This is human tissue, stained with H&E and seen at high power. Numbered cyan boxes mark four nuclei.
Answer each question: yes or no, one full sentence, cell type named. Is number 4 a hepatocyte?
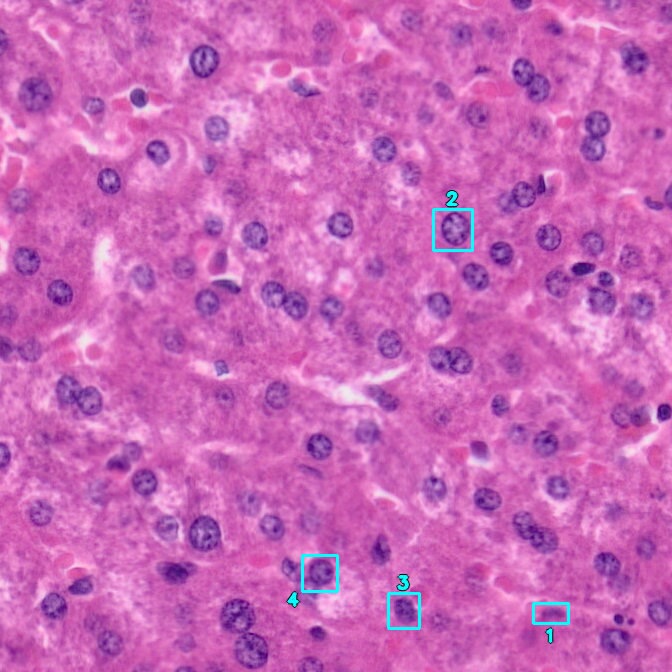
Yes, on this slide, the cell with number 4 is a hepatocyte.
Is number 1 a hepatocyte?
No, calling cell 1 a hepatocyte is a mistake; it is an endothelial cell.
